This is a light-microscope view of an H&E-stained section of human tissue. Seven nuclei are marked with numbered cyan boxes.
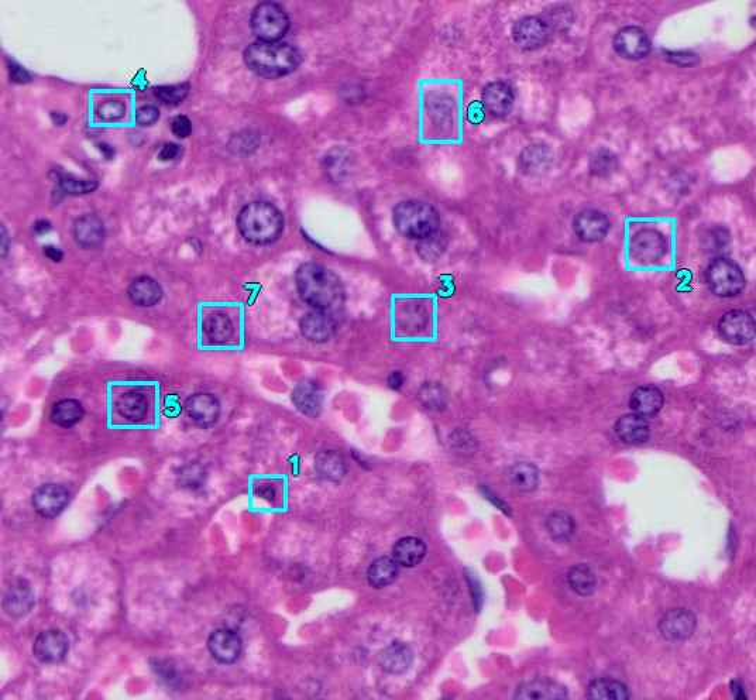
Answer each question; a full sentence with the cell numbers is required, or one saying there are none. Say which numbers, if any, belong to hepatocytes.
Cells 2, 3, 5 and 7 in the section are typed as hepatocytes.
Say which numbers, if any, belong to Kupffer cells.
Cell 6 is a Kupffer cell, whereas each of the other numbered cells is not.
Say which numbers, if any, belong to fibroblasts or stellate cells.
Cell 1 is a fibroblast or stellate cell, and it is the only numbered cell that is.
